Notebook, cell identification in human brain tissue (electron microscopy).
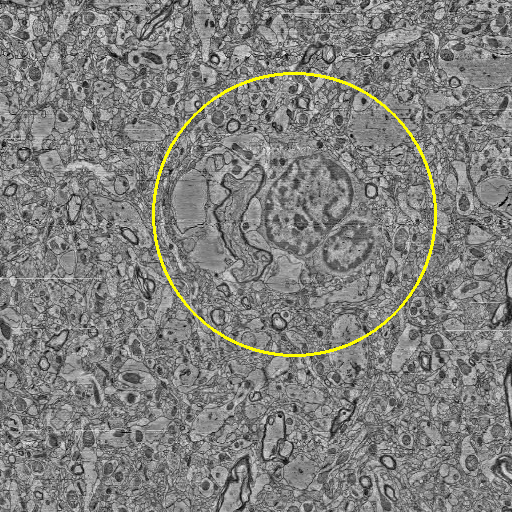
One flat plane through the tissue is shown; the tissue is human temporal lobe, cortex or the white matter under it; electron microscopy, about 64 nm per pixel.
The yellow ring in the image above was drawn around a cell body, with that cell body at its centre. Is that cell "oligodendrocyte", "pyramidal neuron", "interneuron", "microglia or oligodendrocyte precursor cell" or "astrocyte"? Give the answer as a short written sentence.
The cell in the ring is an oligodendrocyte.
